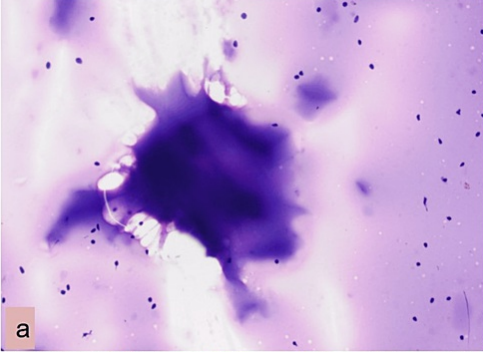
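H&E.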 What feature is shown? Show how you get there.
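Abundant colloid. A large dense purple amorphous mass dominates the centre. The mass has irregular, cracked edges and no nuclei within it. Only scattered small nuclei lie in the pale background.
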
